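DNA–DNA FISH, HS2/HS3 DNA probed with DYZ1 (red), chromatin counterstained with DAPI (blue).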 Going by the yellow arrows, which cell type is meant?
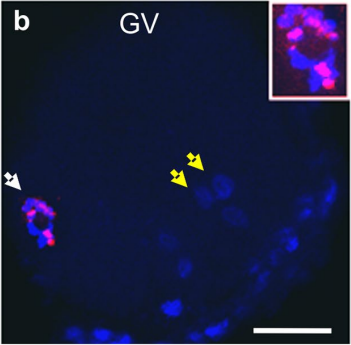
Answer: Cumulus cells.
